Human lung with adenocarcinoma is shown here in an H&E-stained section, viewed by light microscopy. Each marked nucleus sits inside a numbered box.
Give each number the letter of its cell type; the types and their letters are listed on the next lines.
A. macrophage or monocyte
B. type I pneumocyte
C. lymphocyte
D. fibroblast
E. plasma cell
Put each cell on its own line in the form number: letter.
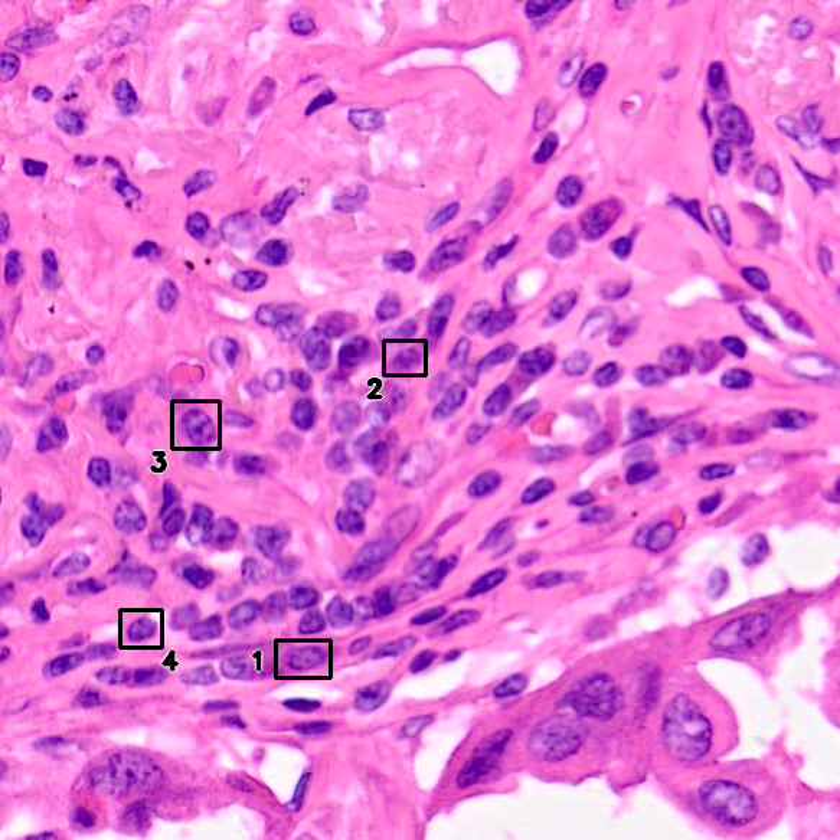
1: E
2: E
3: E
4: C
